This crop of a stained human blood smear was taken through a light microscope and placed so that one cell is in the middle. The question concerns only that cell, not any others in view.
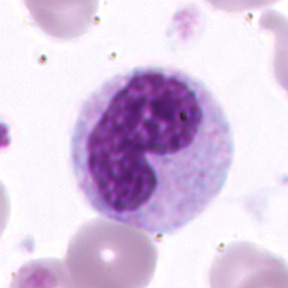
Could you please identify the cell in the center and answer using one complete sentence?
The cell in the exact centre of the crop is a band neutrophil.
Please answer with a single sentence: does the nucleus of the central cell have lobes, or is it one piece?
One compact mass makes up the whole nucleus, round, oval or kidney-shaped.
